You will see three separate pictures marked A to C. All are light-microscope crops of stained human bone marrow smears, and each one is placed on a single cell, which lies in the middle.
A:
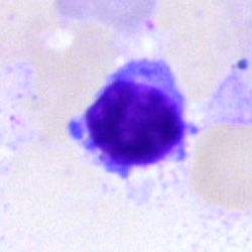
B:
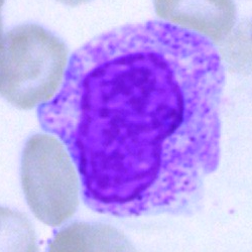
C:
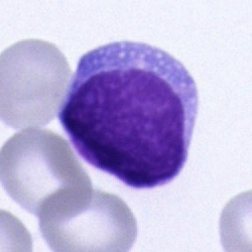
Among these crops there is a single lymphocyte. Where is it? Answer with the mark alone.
A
